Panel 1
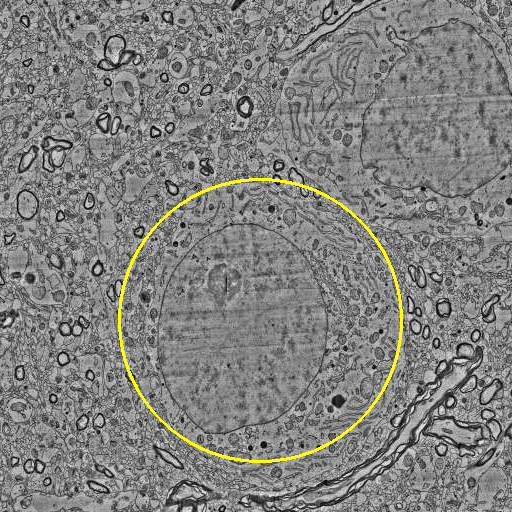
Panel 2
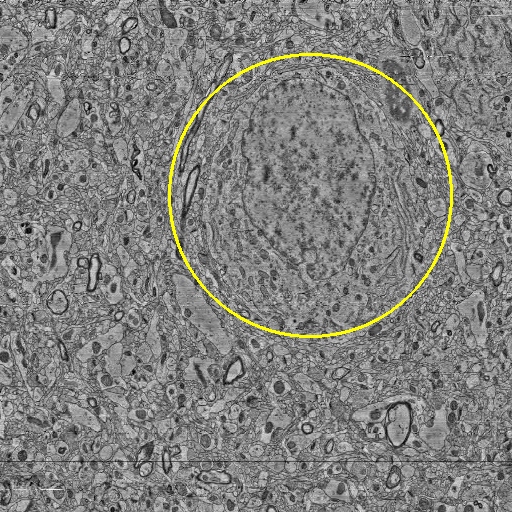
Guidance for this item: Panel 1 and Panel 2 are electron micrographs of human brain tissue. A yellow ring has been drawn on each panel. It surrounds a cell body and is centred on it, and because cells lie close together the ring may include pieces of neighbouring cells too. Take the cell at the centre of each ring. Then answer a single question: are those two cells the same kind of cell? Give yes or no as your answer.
yes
